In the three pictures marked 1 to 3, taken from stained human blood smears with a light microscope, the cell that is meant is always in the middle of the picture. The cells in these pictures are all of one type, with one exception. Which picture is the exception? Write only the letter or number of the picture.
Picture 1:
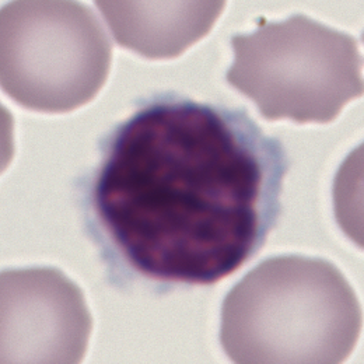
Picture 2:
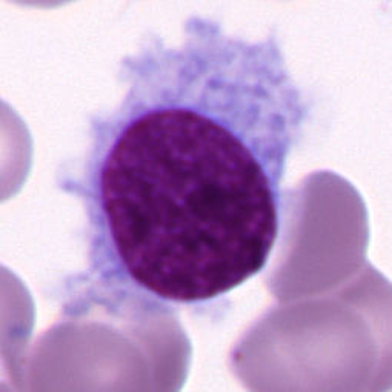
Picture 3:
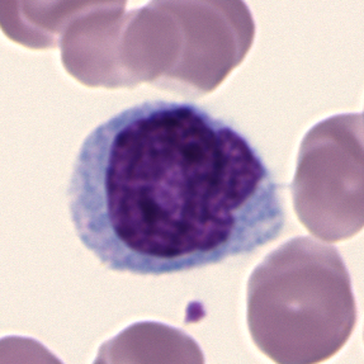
3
